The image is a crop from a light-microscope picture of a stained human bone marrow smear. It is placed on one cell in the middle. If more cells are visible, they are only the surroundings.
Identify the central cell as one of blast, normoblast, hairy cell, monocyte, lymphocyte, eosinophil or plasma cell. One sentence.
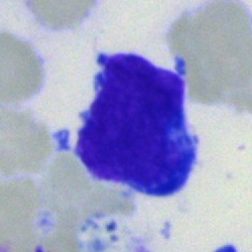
Here the centrally located cell is a blast.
